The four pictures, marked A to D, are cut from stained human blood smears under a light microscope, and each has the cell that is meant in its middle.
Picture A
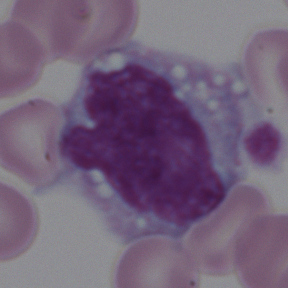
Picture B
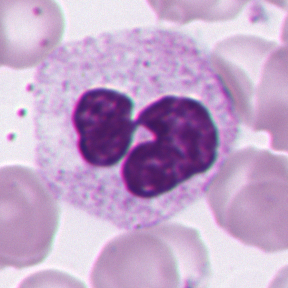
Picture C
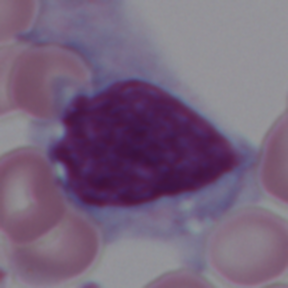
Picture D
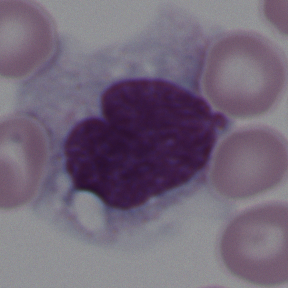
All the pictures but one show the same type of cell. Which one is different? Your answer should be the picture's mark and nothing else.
B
